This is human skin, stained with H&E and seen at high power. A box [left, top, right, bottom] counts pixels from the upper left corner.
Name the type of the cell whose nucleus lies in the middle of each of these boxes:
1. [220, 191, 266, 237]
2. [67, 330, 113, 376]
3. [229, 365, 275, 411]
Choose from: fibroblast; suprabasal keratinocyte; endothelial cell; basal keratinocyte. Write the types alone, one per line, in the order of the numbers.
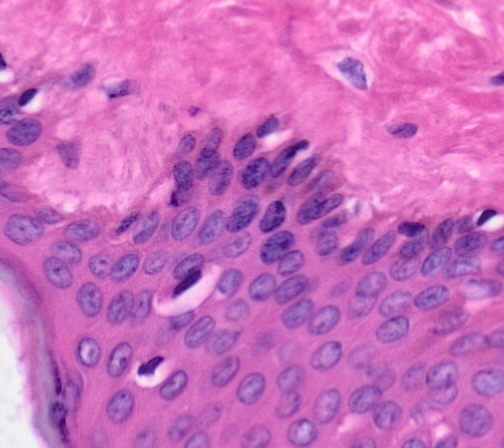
basal keratinocyte
suprabasal keratinocyte
suprabasal keratinocyte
